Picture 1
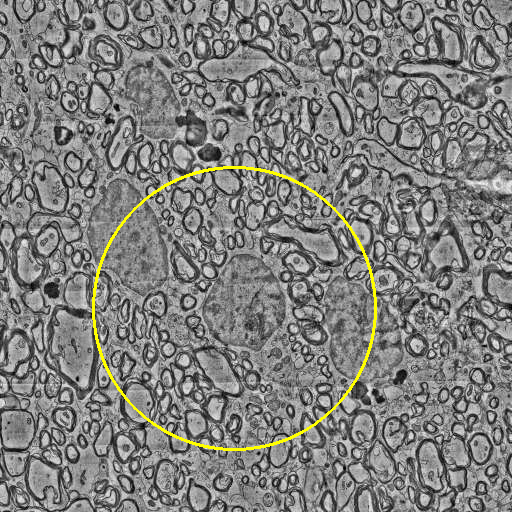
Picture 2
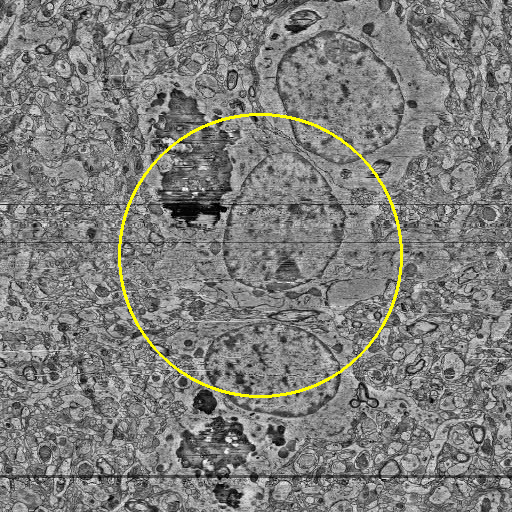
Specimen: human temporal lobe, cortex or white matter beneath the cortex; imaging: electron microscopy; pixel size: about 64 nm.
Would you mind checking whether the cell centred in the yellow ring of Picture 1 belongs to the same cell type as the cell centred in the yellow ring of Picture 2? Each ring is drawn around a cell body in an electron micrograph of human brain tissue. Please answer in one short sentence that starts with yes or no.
No, the two cells are of two types.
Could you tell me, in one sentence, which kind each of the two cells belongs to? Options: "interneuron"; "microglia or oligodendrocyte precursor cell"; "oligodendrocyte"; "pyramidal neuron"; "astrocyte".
At the centre of the first ring sits an oligodendrocyte, and at the centre of the second sits an astrocyte.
